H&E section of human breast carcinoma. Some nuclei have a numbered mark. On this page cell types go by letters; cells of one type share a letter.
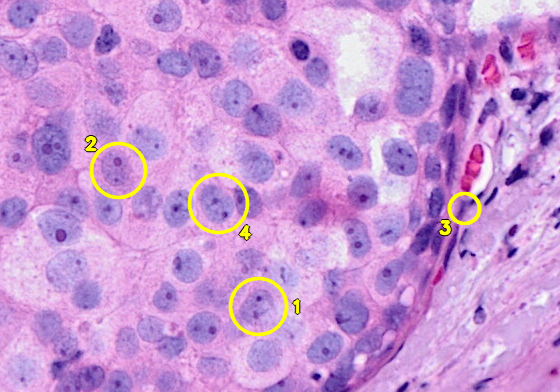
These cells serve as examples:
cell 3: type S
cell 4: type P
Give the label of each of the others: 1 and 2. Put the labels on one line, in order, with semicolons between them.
type P; type P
